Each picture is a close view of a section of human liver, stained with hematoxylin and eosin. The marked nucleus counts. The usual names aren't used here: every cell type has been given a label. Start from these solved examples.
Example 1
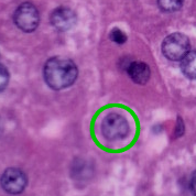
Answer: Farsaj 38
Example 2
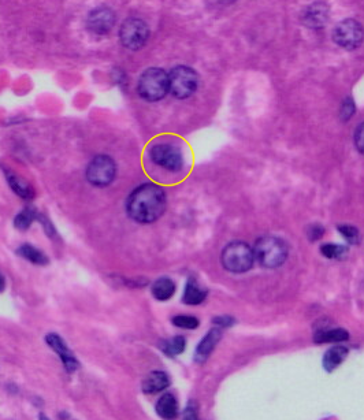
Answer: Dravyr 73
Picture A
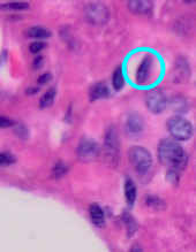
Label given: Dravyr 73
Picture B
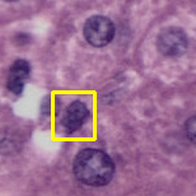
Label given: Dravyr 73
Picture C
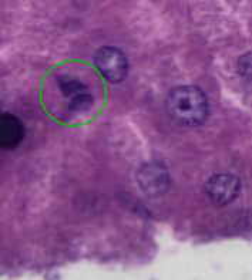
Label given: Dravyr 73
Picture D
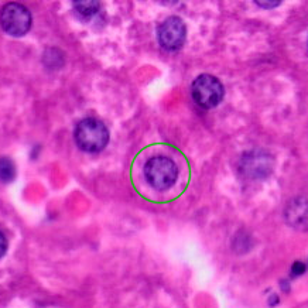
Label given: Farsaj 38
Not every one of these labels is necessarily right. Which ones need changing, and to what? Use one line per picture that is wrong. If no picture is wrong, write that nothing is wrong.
None of the labels needs changing.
